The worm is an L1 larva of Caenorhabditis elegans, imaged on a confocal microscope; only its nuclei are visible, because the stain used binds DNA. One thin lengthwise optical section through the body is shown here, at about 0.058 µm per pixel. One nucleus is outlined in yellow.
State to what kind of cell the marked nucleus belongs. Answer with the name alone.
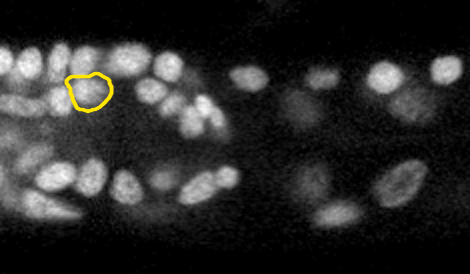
neuron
